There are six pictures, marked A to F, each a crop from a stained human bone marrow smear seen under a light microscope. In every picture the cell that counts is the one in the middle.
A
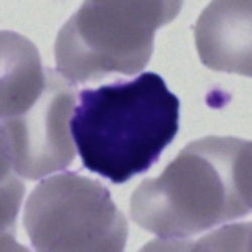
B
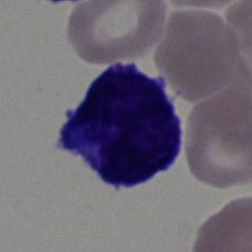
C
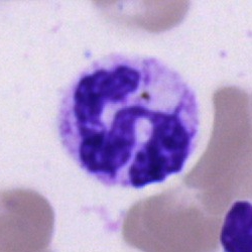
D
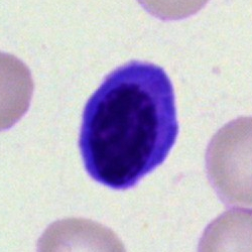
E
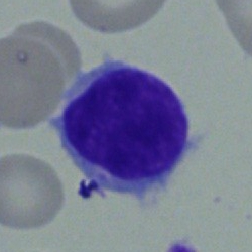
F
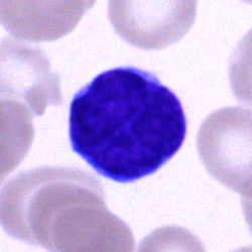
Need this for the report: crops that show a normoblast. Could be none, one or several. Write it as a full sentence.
Answer key: only crop D shows a normoblast.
